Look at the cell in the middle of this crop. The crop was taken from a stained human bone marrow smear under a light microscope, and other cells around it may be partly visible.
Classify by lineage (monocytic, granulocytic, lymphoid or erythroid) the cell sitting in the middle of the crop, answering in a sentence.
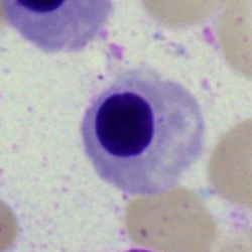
The erythroid lineage is the lineage of the cell in the middle.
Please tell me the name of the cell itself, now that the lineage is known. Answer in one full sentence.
The centrally placed cell is classified as an erythroblast.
